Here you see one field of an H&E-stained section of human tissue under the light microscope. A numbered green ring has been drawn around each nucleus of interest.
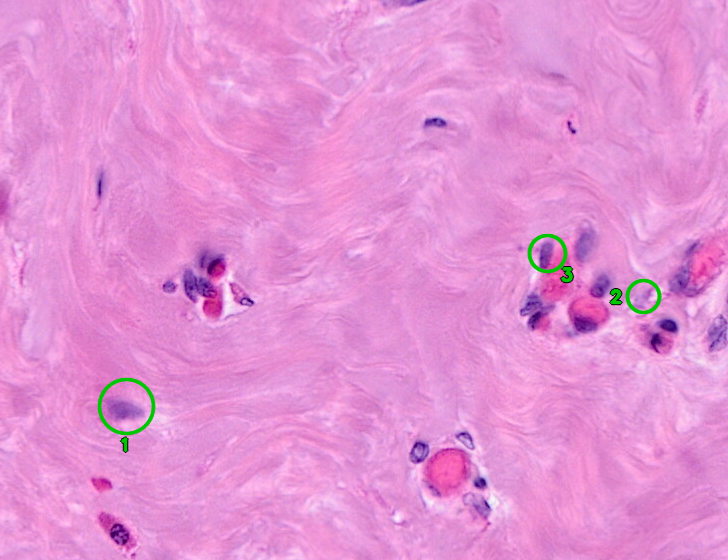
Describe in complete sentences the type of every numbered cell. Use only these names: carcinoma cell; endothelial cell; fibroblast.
Cells 1 and 2 are fibroblasts. Cell 3 is an endothelial cell.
